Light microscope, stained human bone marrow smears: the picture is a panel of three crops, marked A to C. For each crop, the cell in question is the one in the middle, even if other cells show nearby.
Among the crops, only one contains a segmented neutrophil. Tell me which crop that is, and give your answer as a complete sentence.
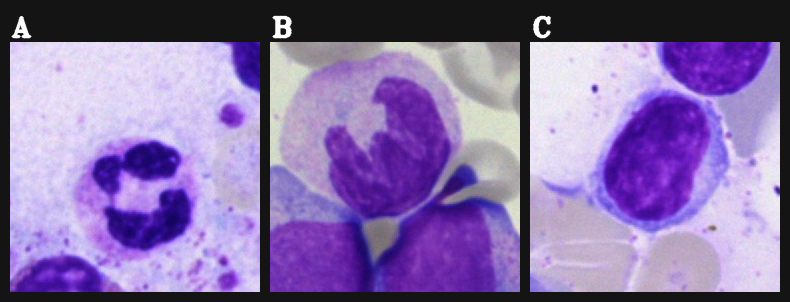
Of the labeled crops, the one with a segmented neutrophil is crop A.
